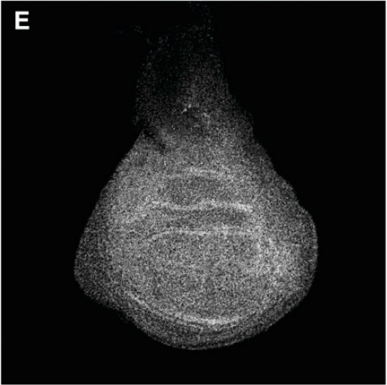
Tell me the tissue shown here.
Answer: discs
